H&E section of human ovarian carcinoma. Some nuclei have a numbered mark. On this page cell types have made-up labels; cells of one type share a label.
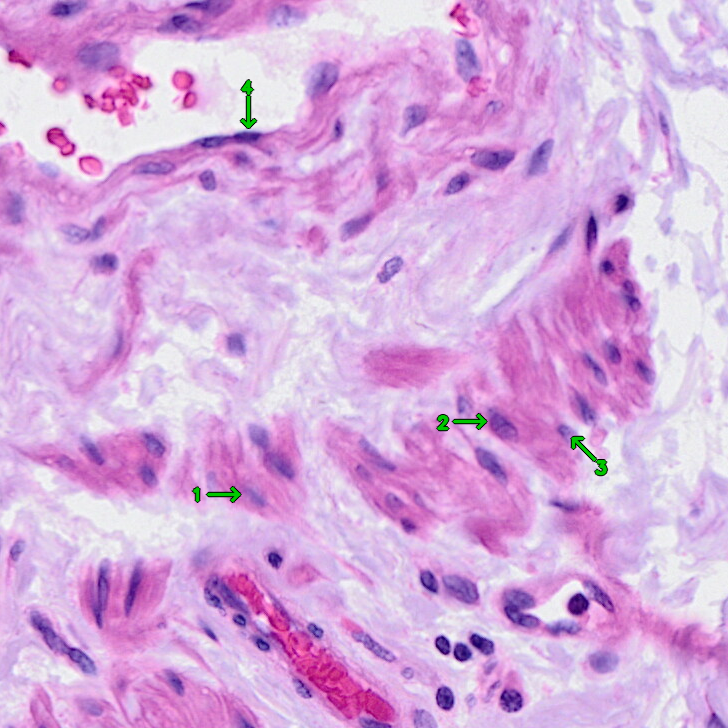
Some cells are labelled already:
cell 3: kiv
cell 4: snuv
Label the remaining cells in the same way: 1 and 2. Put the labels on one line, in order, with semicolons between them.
kiv; kiv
